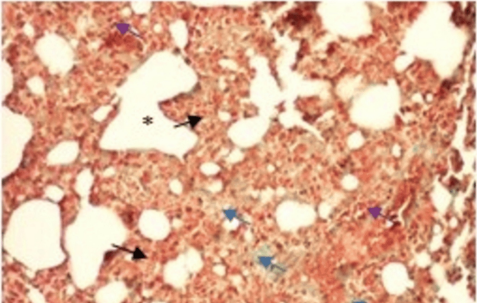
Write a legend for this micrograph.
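This is lung tissue in which the alveolar septa are greatly thickened and the alveolar spaces are reduced to scattered small and irregular openings. Much of the field is filled with dense red-stained tissue packed with cells. Among it lie streaks and patches of pale green fibrous material, and a few dark clusters of crowded cells. Only a few larger air spaces remain open.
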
